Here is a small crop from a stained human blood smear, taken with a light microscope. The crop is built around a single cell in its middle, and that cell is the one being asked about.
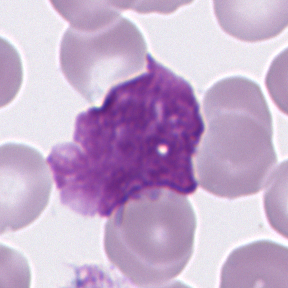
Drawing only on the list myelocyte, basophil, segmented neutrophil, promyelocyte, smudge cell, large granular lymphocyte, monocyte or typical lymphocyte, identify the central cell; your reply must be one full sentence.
The cell the crop is centered on is a smudge cell.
